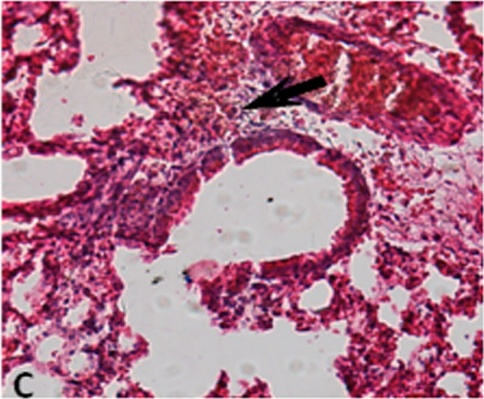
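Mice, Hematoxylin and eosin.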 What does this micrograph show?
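This is lung tissue with a bronchiole, a neighbouring blood vessel and surrounding alveolar parenchyma. The bronchiole is lined by a tall, crowded epithelium with closely packed nuclei. Next to it lies a blood vessel whose lumen is filled with red blood cells. Between the airway and the vessel, dense clusters of small, purple-staining nuclei of inflammatory cells make up an infiltrate. This infiltrate spreads into the loose connective tissue around both structures. The nearby alveolar walls look thickened and cell-rich, and the alveolar spaces are partly narrowed, unlike the thin septa and open airspaces of normal lung.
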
